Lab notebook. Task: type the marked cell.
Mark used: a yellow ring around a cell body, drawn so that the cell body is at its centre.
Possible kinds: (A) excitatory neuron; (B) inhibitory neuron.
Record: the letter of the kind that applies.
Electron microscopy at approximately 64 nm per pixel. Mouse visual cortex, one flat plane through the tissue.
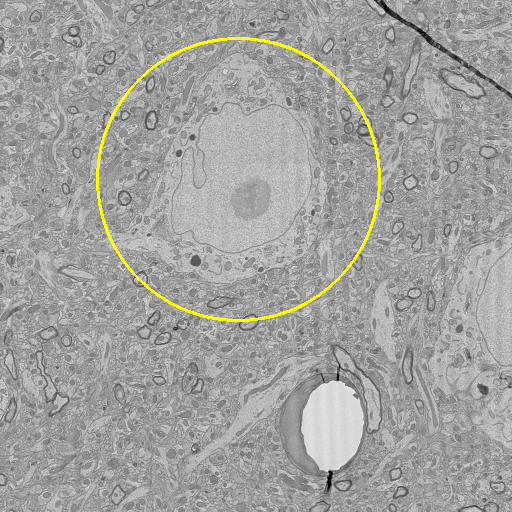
A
